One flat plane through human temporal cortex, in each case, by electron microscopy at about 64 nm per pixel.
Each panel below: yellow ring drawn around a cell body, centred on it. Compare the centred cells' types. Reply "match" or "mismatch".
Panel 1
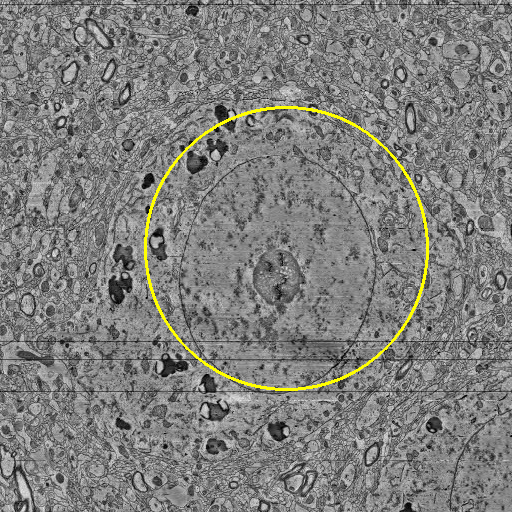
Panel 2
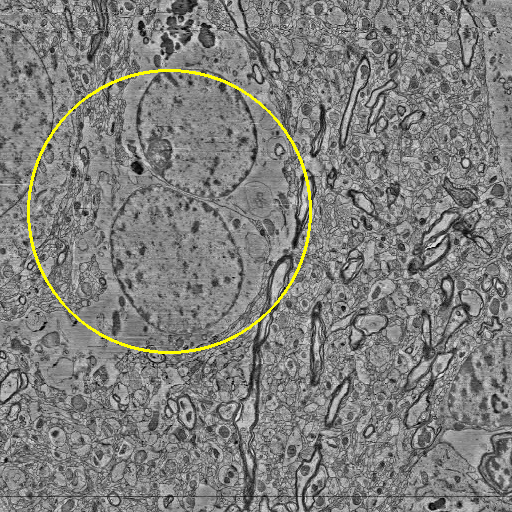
mismatch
